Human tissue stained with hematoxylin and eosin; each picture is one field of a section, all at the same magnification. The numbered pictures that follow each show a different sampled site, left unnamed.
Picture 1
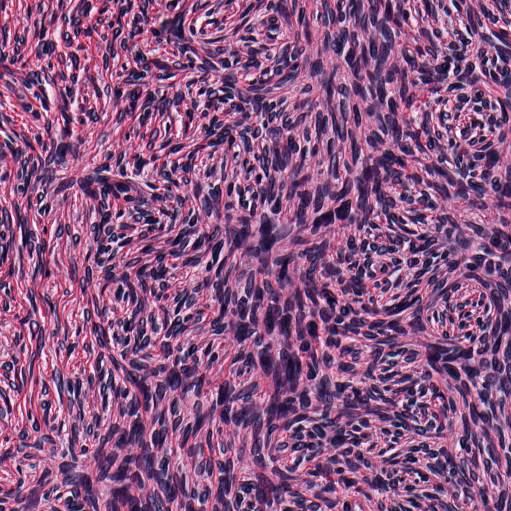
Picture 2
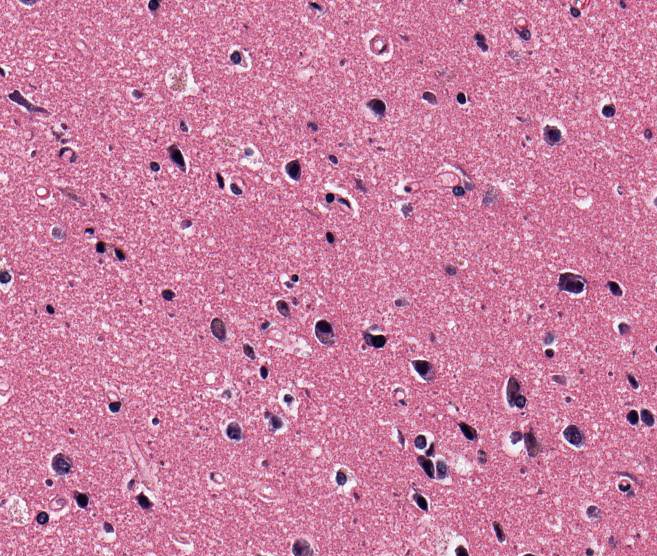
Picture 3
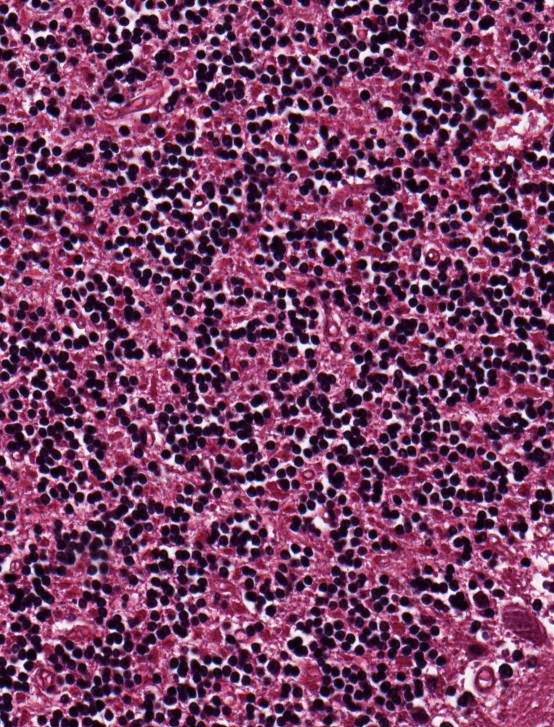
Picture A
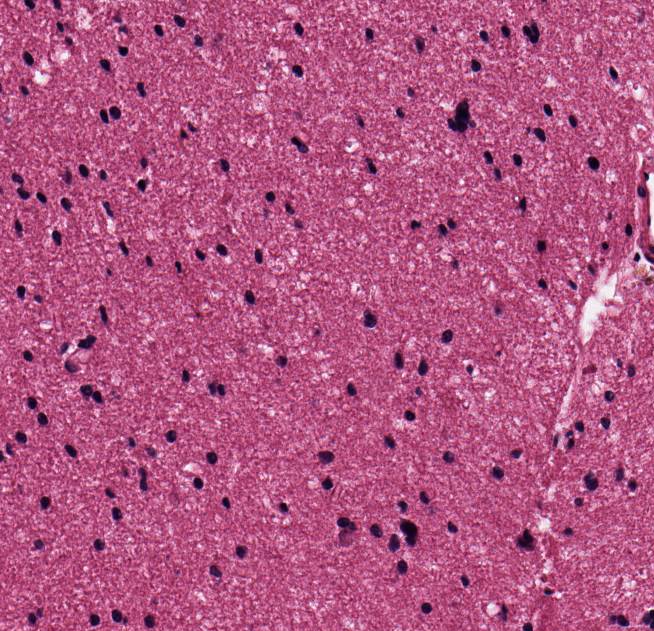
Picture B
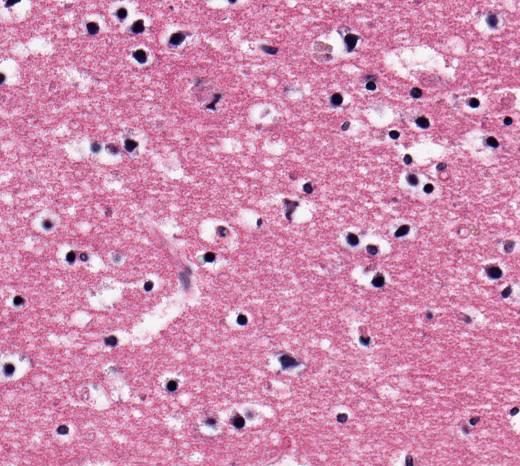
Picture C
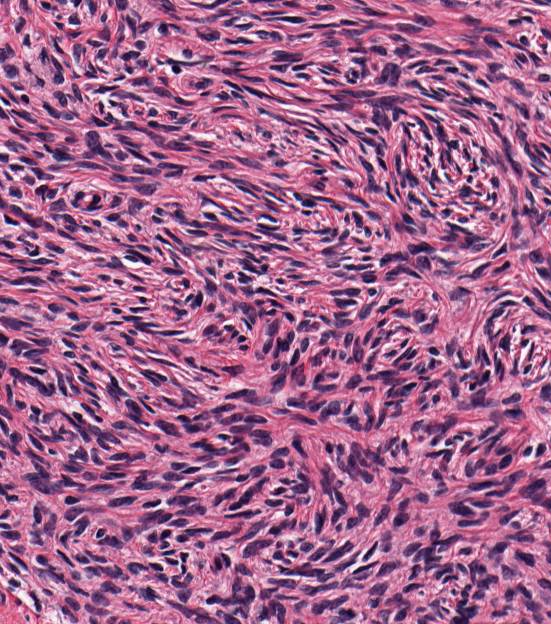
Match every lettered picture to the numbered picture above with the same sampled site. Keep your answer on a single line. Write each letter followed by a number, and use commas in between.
A 2, B 2, C 1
